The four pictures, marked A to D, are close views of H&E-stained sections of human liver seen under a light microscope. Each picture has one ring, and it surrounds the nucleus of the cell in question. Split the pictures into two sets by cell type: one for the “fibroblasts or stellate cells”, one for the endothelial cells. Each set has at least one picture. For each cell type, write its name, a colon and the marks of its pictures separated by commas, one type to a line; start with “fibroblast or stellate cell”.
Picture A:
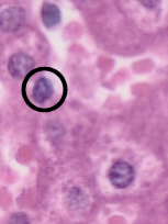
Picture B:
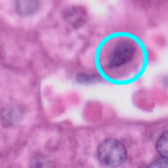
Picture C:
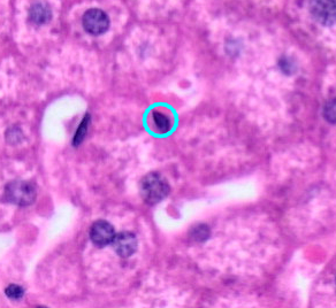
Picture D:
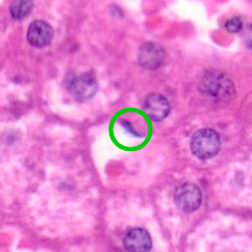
fibroblast or stellate cell: A, B, C
endothelial cell: D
